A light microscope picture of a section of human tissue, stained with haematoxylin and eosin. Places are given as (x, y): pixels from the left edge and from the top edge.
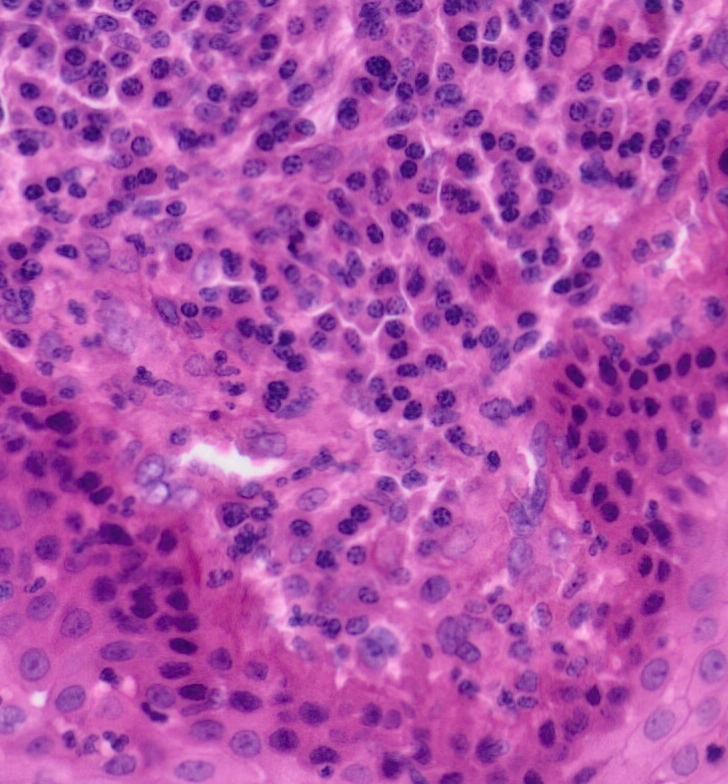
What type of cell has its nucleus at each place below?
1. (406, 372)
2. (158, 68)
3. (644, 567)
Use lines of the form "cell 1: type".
cell 1: plasma cell
cell 2: plasma cell
cell 3: squamous epithelial cell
